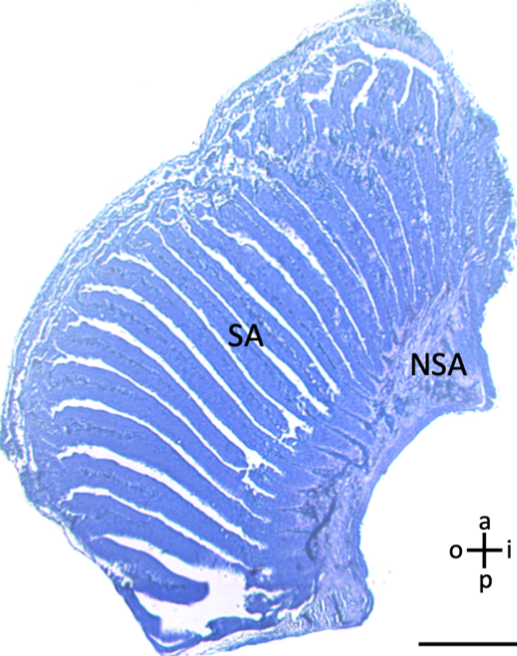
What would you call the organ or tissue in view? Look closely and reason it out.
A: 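Many thin parallel folds separated by narrow pale clefts. On this evidence: lamellae.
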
